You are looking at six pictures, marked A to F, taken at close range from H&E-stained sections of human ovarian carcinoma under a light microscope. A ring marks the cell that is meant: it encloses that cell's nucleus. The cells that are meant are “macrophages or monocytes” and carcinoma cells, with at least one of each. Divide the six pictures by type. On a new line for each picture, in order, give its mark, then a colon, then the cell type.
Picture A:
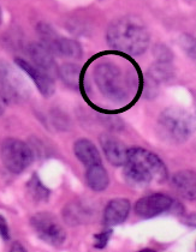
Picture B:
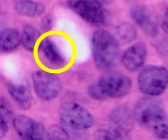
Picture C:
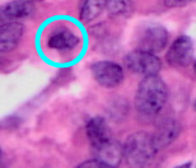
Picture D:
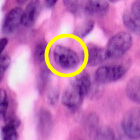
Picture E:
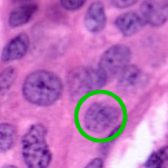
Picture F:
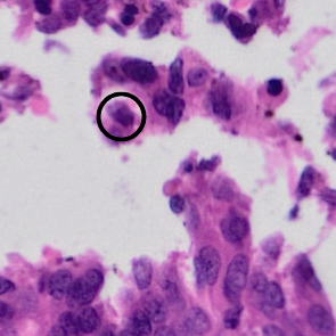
A: carcinoma cell
B: carcinoma cell
C: macrophage or monocyte
D: macrophage or monocyte
E: carcinoma cell
F: macrophage or monocyte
